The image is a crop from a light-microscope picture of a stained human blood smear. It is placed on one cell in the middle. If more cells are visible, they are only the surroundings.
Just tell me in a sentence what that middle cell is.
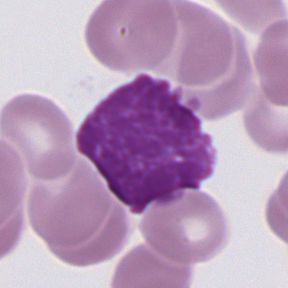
The cell in the exact centre of the crop is a smudge cell.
